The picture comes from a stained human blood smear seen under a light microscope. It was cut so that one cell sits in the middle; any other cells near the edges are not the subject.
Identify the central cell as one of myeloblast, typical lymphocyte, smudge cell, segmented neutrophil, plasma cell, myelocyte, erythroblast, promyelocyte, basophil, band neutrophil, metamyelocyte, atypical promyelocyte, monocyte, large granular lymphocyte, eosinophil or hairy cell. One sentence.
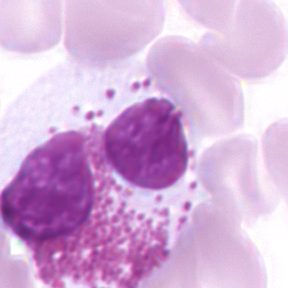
The middle position in this crop is taken by an eosinophil.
